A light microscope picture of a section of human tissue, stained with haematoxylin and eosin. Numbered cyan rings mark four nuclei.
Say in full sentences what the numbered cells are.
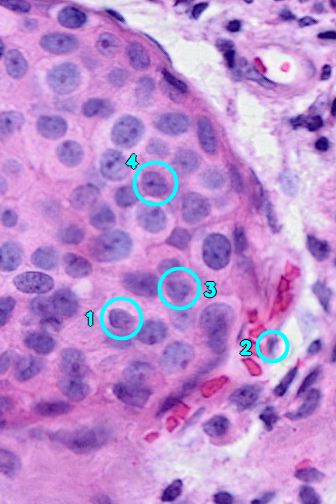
Cells 1, 3 and 4 are carcinoma cells. Cell 2 is an endothelial cell.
